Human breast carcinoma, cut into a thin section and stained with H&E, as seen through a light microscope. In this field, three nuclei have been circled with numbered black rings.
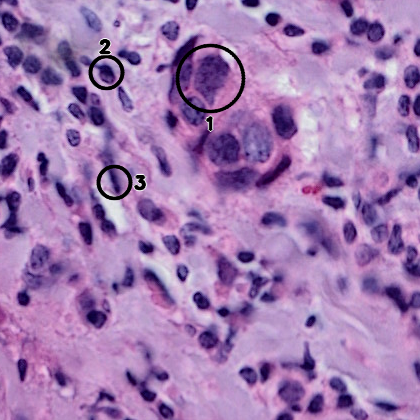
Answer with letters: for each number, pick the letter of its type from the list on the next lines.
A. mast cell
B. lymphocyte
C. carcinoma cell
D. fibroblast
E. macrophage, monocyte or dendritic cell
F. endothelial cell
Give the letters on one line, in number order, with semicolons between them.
C; B; B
